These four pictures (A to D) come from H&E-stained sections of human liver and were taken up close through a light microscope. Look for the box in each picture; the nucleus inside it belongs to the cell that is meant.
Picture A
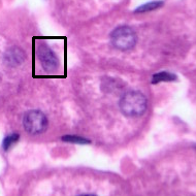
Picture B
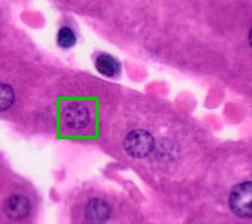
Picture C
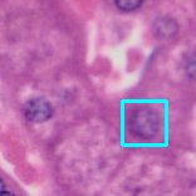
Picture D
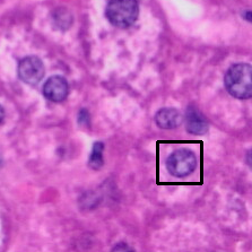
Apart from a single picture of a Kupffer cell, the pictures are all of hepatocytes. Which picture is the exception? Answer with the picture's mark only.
A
